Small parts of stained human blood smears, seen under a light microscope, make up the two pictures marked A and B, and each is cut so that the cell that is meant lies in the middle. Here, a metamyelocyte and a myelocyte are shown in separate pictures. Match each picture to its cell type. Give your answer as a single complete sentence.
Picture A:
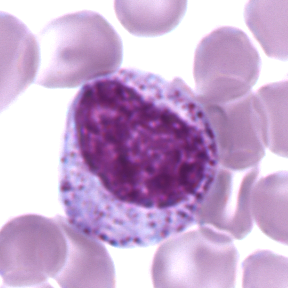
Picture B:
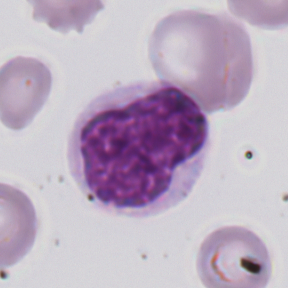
The cell in picture A is a myelocyte, and the one in picture B is a metamyelocyte.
